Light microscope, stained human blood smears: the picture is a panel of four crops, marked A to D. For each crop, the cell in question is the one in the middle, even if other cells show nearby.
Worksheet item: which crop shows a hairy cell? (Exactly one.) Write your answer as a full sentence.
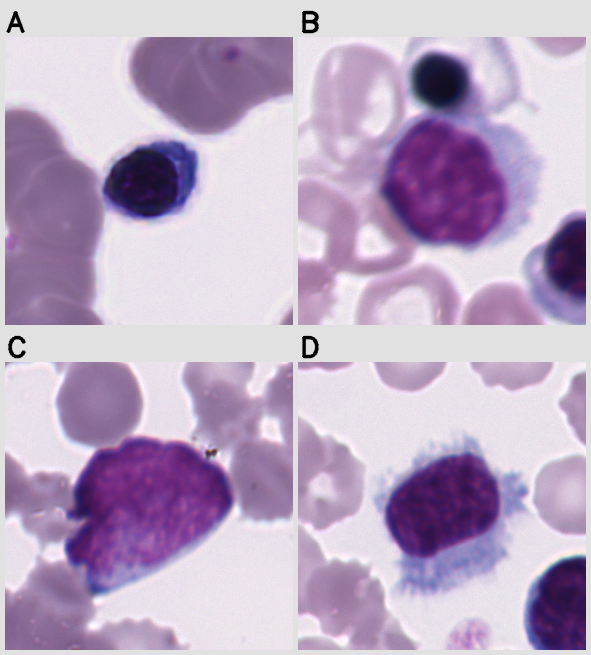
Crop D is the crop in which a hairy cell is shown.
